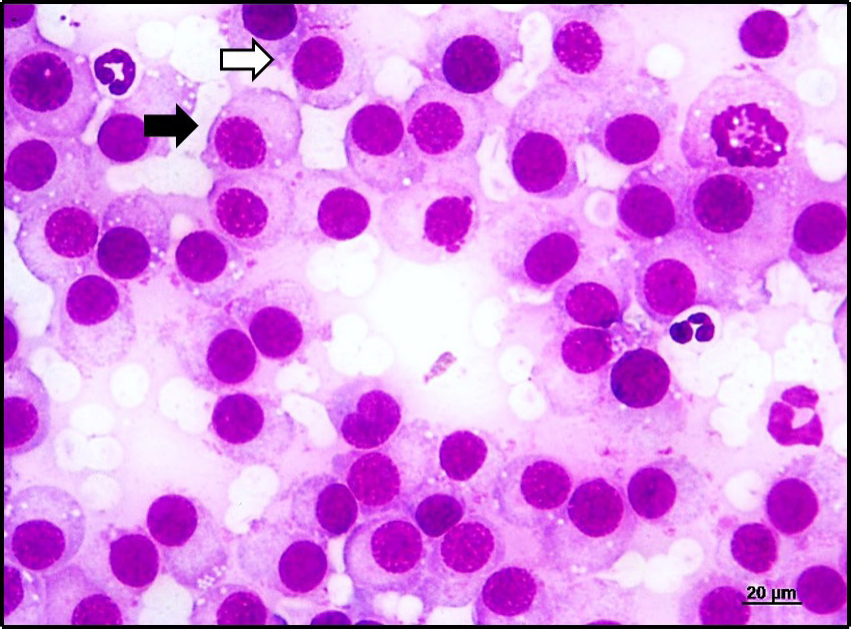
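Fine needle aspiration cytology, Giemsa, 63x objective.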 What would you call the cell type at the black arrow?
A: Plasmacytoid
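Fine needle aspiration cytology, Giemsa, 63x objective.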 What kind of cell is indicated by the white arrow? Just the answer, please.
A: Lymphocytoid.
